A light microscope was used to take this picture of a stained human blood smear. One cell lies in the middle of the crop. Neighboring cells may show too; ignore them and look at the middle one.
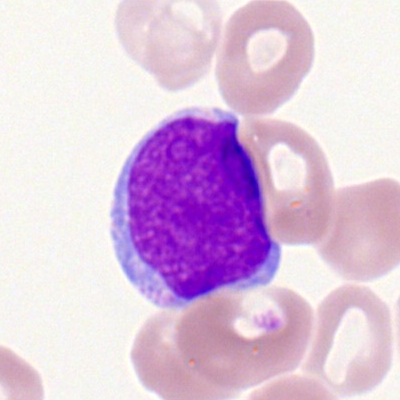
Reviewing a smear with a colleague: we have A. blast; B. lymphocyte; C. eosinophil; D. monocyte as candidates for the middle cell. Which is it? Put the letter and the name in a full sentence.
Option A is to be chosen, as the central cell is a blast.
